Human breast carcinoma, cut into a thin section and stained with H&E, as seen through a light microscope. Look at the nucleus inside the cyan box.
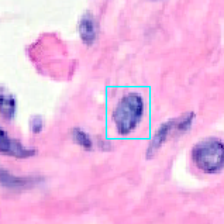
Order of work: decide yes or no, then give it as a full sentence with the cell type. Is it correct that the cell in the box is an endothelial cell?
Yes, an endothelial cell is what the cell in the box represents in this tissue.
